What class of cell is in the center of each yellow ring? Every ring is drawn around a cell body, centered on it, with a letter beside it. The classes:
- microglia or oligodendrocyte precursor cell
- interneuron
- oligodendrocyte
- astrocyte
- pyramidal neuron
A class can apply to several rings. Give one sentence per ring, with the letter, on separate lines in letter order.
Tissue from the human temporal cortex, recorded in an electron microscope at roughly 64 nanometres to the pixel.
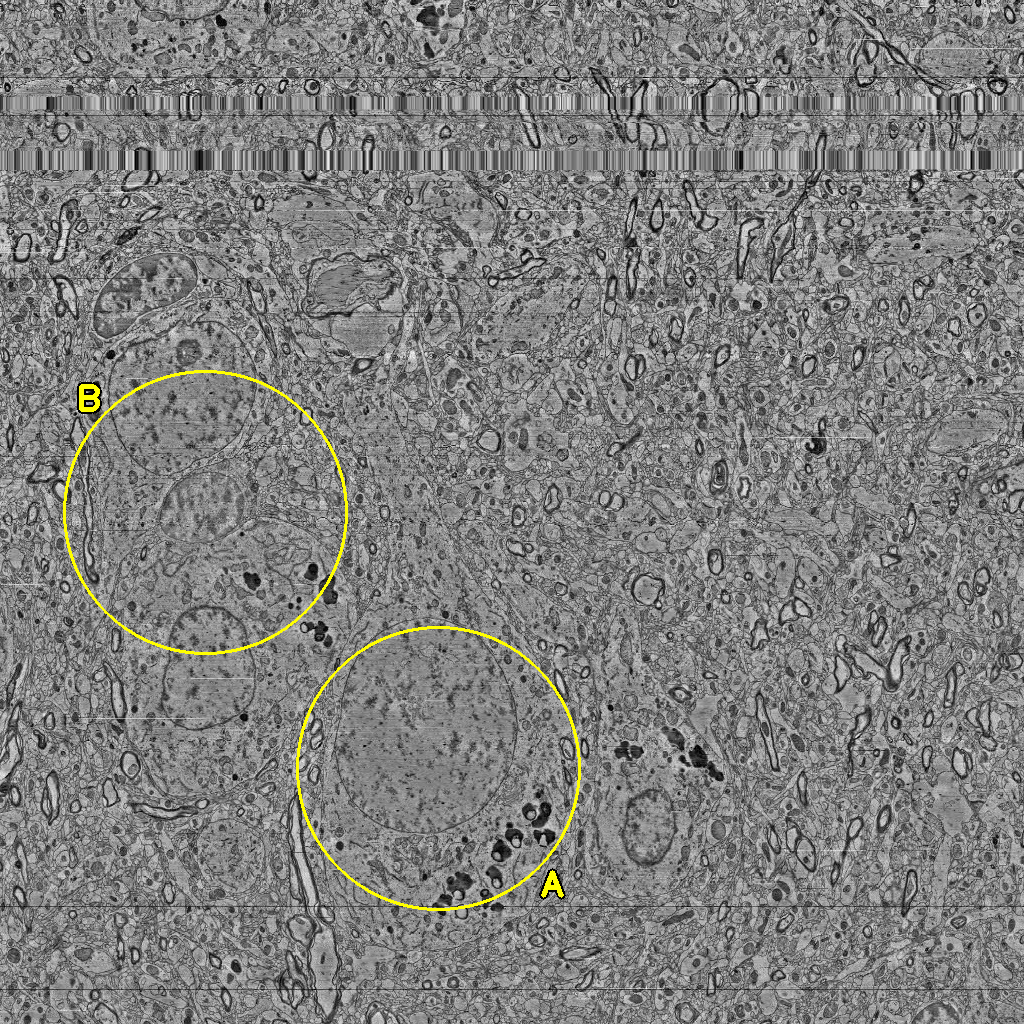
Ring A holds a pyramidal neuron at its center.
Ring B holds an oligodendrocyte at its center.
